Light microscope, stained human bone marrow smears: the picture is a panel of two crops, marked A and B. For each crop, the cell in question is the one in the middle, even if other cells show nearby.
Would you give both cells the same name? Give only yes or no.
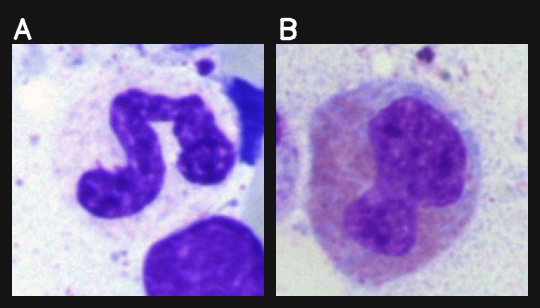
no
